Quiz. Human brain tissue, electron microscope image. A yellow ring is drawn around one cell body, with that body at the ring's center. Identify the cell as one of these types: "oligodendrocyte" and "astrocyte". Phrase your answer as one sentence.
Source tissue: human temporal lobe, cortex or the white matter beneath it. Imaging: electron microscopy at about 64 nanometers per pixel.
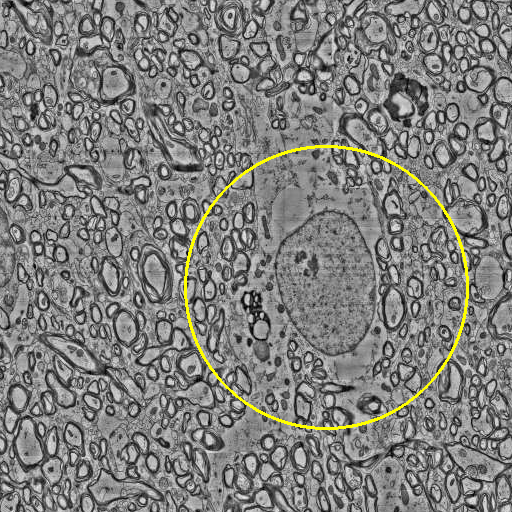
At the center of the ring sits an astrocyte.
